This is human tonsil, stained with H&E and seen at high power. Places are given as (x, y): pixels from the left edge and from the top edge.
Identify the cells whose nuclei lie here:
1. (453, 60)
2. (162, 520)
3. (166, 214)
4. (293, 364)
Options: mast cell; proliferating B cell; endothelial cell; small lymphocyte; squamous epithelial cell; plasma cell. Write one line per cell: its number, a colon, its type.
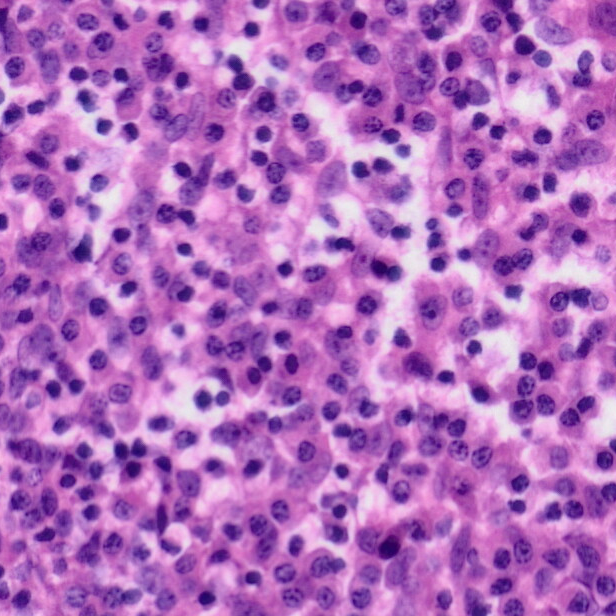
1: plasma cell
2: squamous epithelial cell
3: plasma cell
4: plasma cell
